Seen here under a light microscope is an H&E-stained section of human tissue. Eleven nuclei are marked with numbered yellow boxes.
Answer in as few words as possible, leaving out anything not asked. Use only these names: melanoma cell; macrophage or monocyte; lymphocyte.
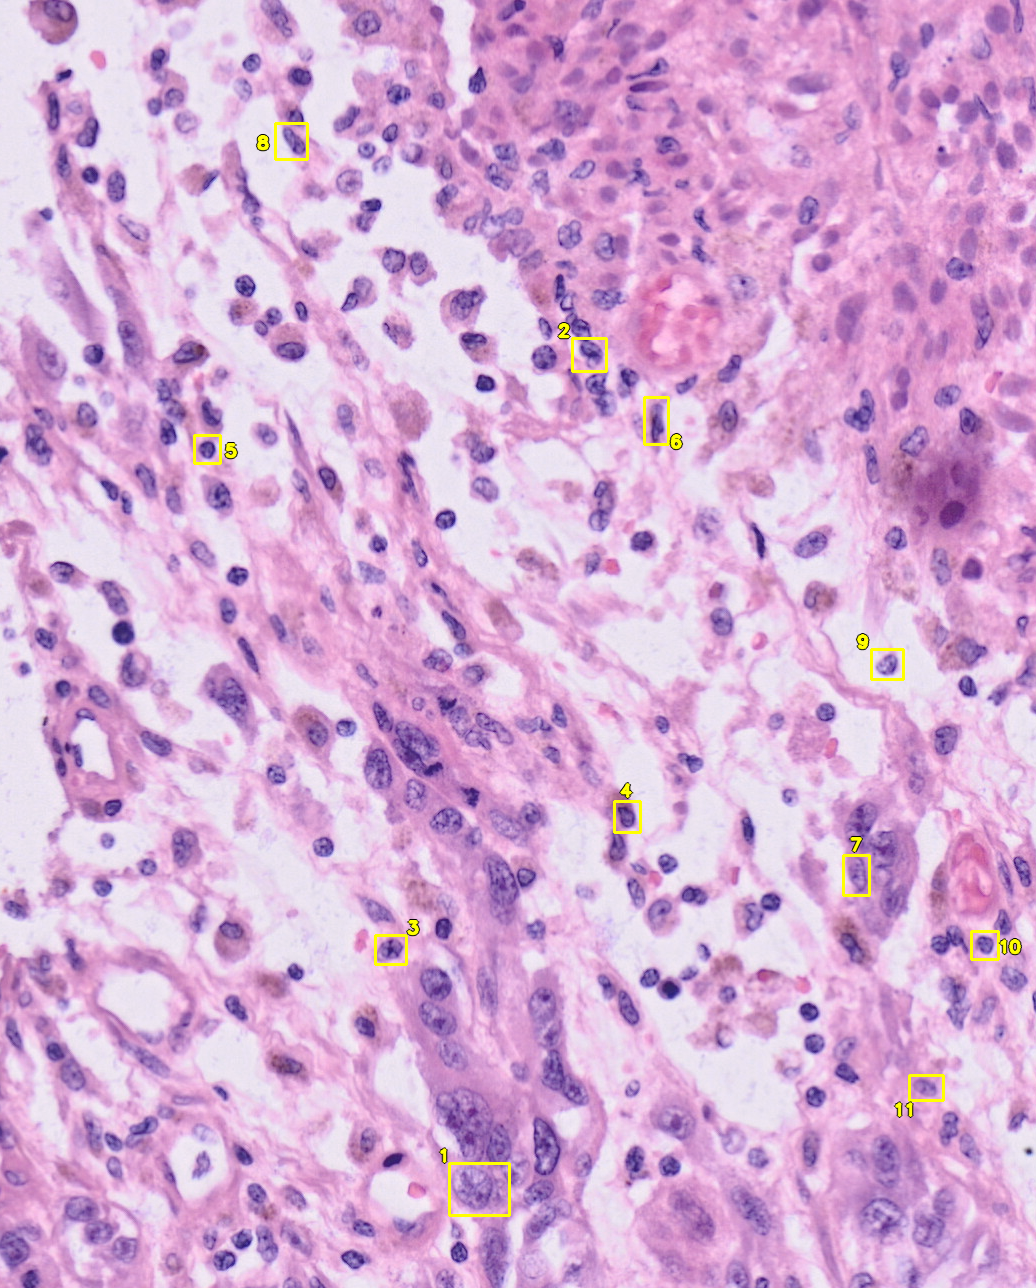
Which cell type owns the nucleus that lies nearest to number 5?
macrophage or monocyte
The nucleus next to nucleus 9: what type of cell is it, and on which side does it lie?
a macrophage or monocyte above and to the right of nucleus 9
